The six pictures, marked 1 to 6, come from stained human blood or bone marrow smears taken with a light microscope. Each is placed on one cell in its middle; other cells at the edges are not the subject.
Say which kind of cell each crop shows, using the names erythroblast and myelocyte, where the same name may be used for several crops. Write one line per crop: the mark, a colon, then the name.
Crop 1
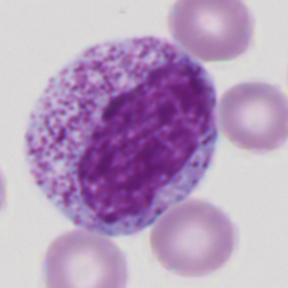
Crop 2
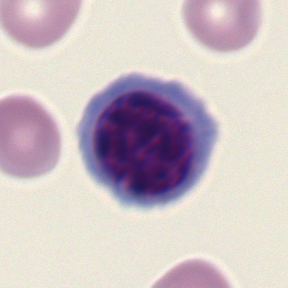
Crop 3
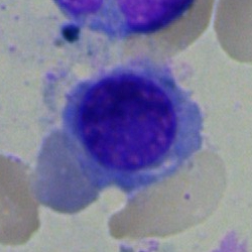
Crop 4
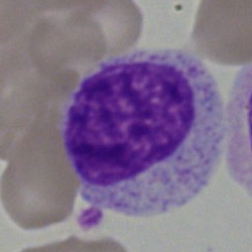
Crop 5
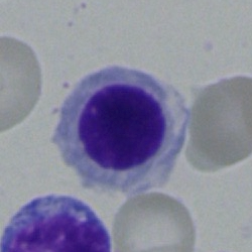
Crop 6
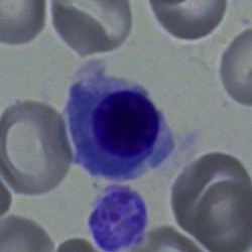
1: myelocyte
2: erythroblast
3: erythroblast
4: myelocyte
5: erythroblast
6: erythroblast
